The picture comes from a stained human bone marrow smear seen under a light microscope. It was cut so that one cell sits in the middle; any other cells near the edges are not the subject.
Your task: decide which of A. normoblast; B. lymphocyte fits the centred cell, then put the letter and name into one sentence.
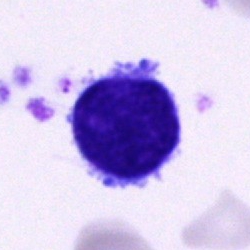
Identified correctly by option B, the cell in the middle is a lymphocyte.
